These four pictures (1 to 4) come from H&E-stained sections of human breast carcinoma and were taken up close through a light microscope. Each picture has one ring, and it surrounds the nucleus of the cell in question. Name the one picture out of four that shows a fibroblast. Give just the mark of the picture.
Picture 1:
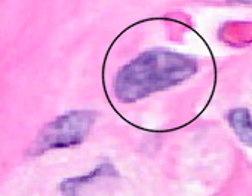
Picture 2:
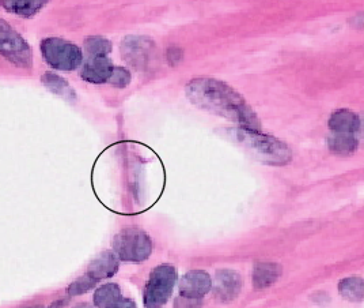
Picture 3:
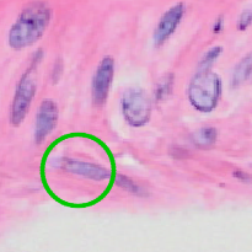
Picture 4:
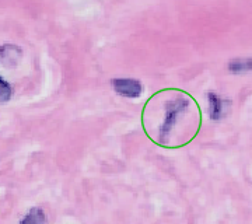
4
